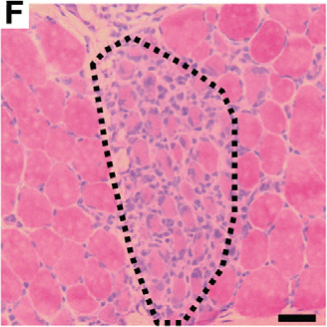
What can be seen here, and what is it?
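This is skeletal muscle in cross-section with a group of regenerating fibers in its middle. The regenerating fibers are small and tightly clustered, and among them lie many purple nuclei, so the patch looks bluer than its surroundings. Around this group lie larger muscle fibers with pink cytoplasm, rounded and somewhat varied in size. Thin pale connective tissue separates the fibers.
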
